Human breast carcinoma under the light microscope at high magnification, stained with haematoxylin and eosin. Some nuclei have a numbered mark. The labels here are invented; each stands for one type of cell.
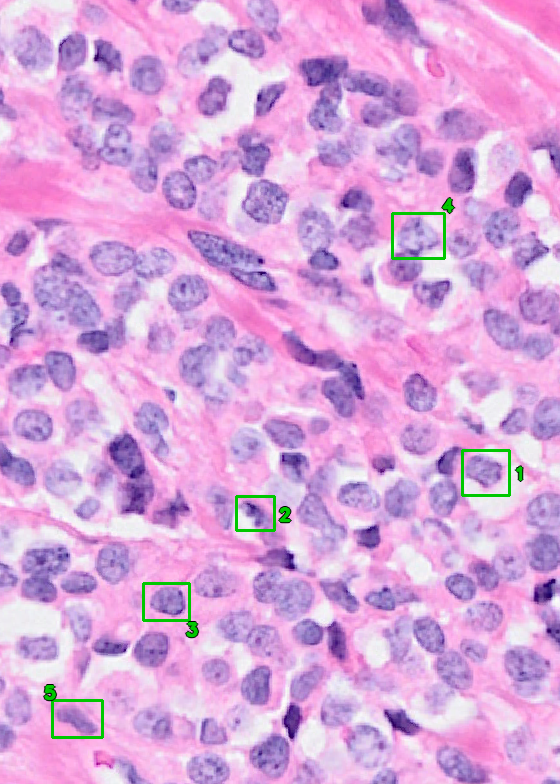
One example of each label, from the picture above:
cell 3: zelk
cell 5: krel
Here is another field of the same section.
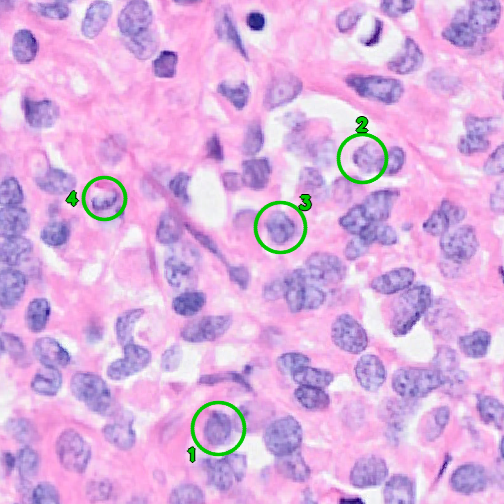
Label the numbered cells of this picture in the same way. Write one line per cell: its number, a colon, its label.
1: zelk
2: zelk
3: zelk
4: krel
